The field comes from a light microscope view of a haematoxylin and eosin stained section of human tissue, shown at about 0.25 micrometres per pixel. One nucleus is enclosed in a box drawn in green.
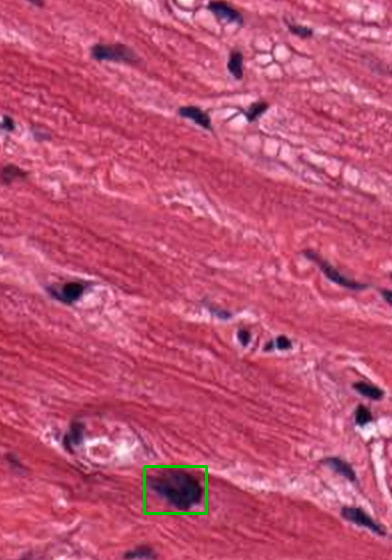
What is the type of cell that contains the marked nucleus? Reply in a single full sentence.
The mark in this picture falls on the nucleus of a cardiomyocyte.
